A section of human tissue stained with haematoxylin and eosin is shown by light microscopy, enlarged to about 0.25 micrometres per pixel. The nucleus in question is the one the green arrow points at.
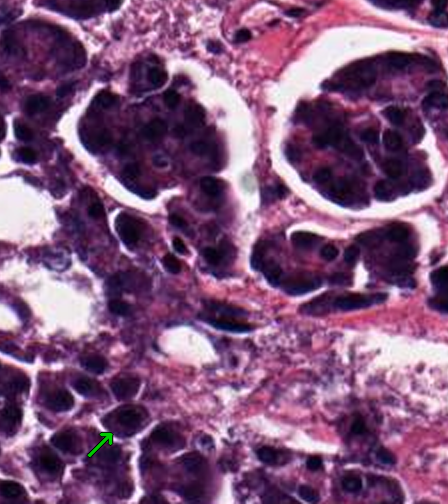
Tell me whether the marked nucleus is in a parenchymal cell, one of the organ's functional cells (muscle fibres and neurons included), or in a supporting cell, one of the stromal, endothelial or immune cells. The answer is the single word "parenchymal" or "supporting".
parenchymal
